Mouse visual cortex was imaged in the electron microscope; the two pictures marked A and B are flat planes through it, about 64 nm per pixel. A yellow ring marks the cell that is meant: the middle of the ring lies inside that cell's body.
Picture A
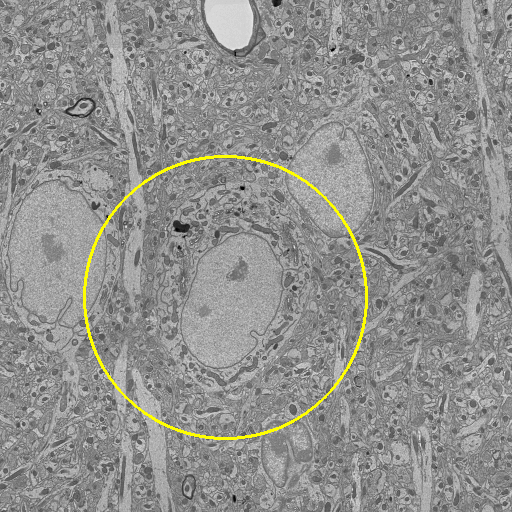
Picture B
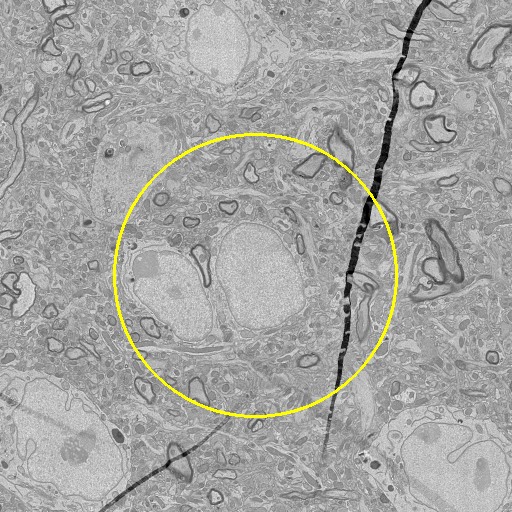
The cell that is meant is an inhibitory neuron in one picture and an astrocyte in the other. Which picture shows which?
Picture B shows an astrocyte, while picture A shows an inhibitory neuron.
